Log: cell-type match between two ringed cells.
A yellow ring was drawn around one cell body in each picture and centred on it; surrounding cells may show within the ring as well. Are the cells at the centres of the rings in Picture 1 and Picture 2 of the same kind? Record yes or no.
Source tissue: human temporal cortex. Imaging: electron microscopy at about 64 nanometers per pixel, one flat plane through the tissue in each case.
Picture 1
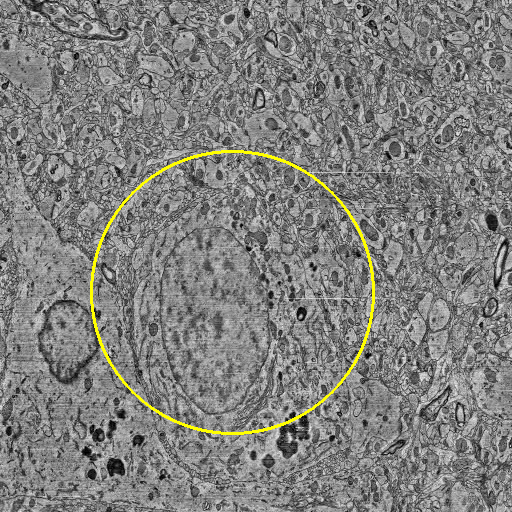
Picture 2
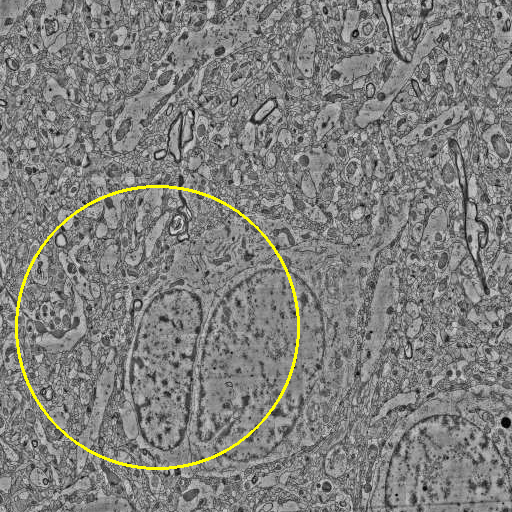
no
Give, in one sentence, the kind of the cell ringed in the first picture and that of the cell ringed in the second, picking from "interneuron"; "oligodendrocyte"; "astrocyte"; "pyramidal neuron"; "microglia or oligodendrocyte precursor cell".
For the first picture it is an interneuron; for the second, a microglial cell or oligodendrocyte precursor cell.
